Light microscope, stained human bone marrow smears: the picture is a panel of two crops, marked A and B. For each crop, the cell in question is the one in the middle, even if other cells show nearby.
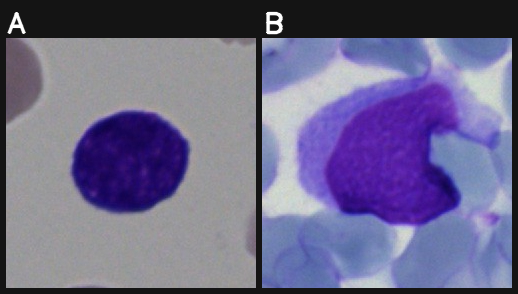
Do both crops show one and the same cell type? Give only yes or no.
yes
